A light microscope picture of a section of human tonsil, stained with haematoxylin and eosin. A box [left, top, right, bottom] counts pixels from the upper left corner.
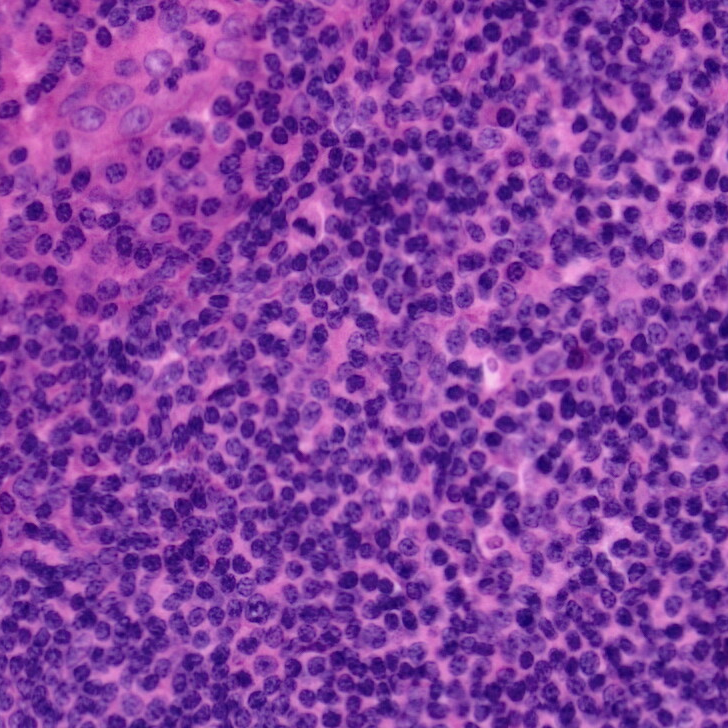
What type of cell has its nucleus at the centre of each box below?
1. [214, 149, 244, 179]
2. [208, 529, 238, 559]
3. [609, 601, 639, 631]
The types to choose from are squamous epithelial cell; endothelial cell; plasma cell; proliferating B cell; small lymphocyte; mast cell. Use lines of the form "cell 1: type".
cell 1: plasma cell
cell 2: small lymphocyte
cell 3: small lymphocyte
